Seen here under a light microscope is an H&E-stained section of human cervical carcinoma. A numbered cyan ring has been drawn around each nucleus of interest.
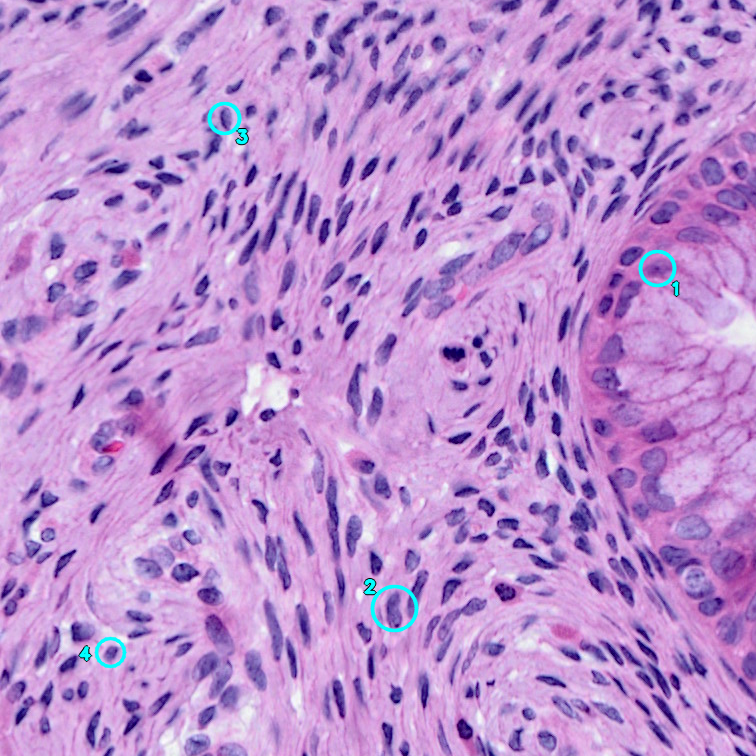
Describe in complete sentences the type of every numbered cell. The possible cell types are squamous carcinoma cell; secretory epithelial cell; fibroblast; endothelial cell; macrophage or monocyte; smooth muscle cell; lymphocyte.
Cell 1 is a secretory epithelial cell. Cells 2, 3 and 4 are fibroblasts.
